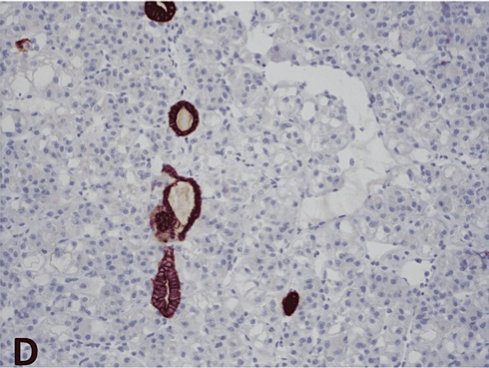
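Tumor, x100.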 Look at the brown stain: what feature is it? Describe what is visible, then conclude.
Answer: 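Entrapped non-neoplastic tubules. A few small round and elongated structures with central lumens are stained dark brown. The surrounding sheet of cells is unstained, blue only.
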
